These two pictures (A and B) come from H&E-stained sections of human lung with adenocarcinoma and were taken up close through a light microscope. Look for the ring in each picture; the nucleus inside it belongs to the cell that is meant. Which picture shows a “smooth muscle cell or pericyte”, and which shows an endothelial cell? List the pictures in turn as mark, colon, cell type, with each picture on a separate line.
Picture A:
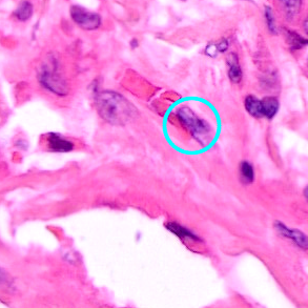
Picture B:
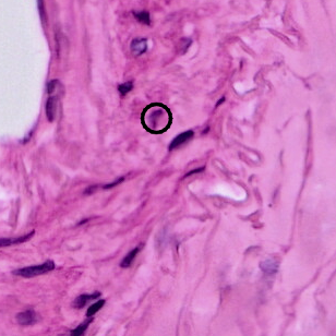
A: endothelial cell
B: smooth muscle cell or pericyte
